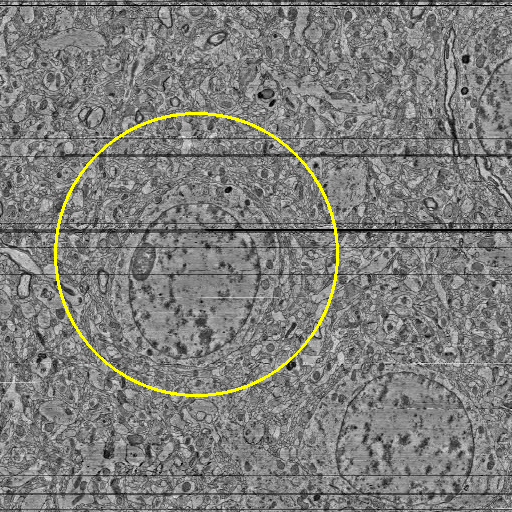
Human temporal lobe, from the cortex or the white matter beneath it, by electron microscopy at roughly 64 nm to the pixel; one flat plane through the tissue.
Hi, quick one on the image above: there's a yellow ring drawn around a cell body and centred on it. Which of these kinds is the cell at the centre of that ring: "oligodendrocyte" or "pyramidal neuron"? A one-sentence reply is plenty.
The cell at the centre of the ring is a pyramidal neuron.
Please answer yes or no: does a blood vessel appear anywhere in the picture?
No, none shows.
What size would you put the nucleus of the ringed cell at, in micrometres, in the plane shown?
Approximately 11 x 8 micrometres in this plane.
